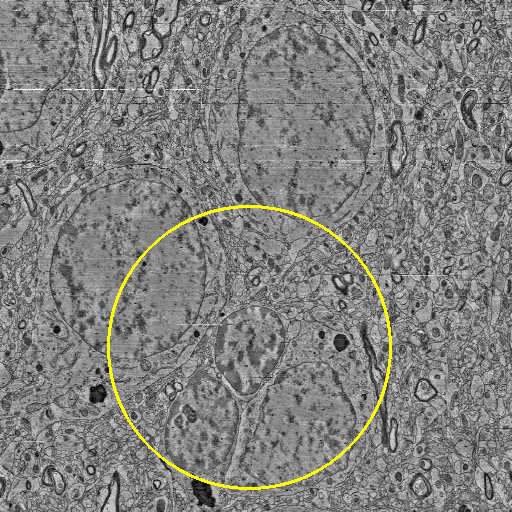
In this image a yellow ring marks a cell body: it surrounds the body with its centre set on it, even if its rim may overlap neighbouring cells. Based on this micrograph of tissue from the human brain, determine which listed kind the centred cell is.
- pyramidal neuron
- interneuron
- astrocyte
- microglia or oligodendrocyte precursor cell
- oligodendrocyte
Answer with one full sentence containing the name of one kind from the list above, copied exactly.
It is a microglial cell or oligodendrocyte precursor cell whose body the yellow ring encloses at its centre.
